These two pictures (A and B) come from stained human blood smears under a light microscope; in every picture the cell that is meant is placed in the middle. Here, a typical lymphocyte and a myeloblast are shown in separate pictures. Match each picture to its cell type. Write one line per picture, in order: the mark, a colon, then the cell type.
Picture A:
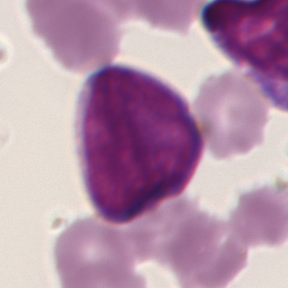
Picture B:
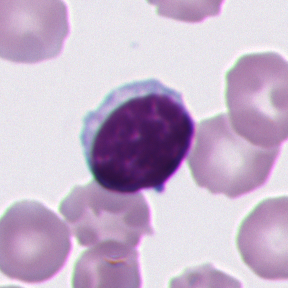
A: myeloblast
B: typical lymphocyte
